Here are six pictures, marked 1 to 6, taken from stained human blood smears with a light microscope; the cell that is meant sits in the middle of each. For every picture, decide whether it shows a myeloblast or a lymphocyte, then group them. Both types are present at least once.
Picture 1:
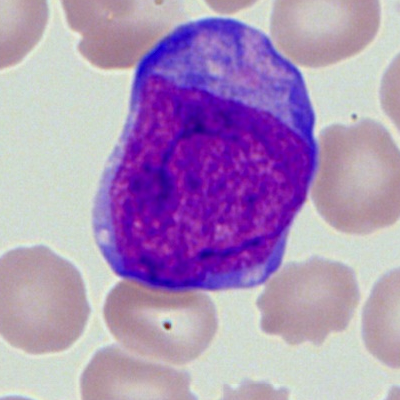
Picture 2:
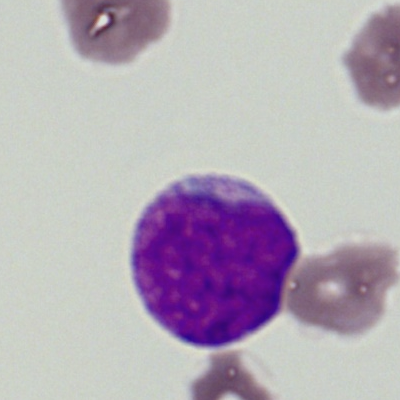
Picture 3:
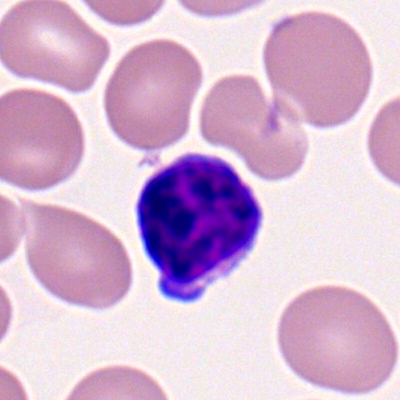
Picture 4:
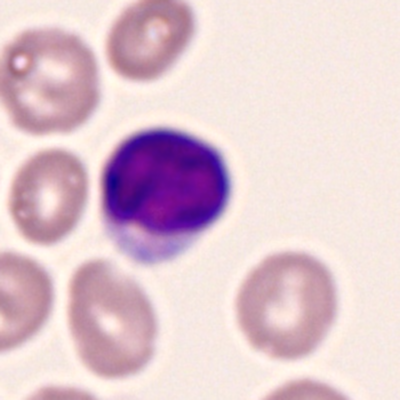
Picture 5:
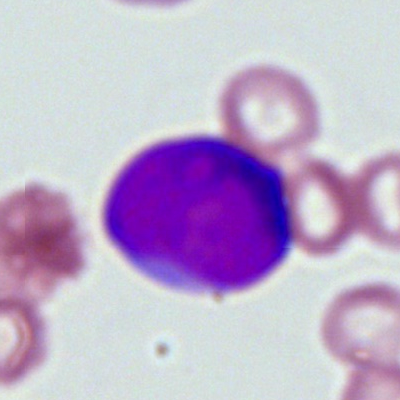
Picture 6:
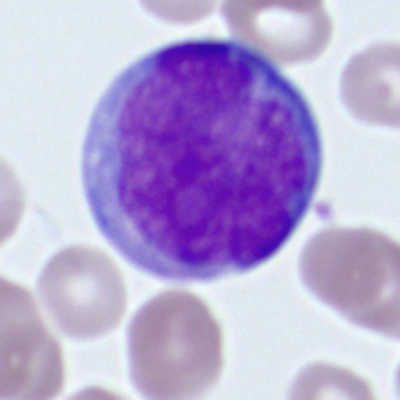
1: myeloblast
2: myeloblast
3: lymphocyte
4: lymphocyte
5: myeloblast
6: myeloblast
